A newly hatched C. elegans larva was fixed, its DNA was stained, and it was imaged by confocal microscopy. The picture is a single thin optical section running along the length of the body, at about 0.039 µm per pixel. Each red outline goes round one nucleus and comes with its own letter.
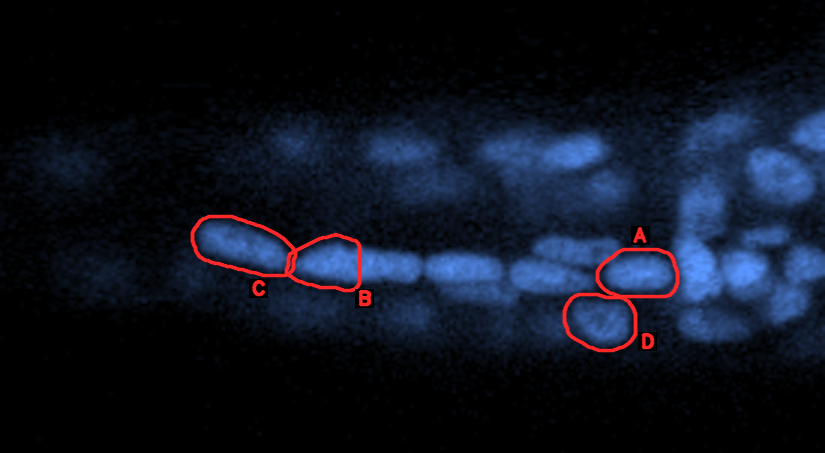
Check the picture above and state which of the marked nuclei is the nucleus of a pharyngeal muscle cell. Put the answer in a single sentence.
B is from a pharyngeal muscle cell.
